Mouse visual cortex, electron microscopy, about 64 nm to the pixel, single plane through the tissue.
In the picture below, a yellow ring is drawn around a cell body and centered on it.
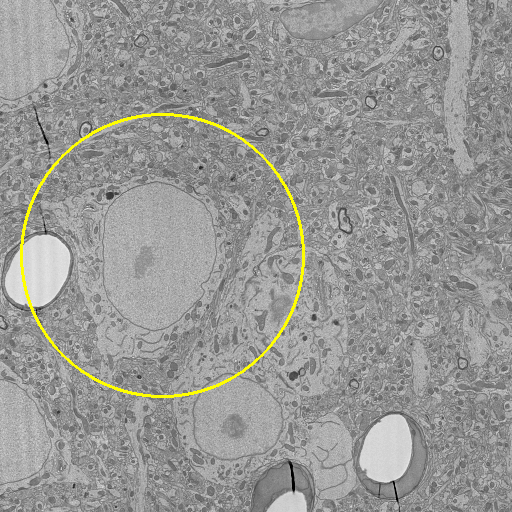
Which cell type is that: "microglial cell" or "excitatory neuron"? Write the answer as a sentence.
The cell centered in the ring is an excitatory neuron.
